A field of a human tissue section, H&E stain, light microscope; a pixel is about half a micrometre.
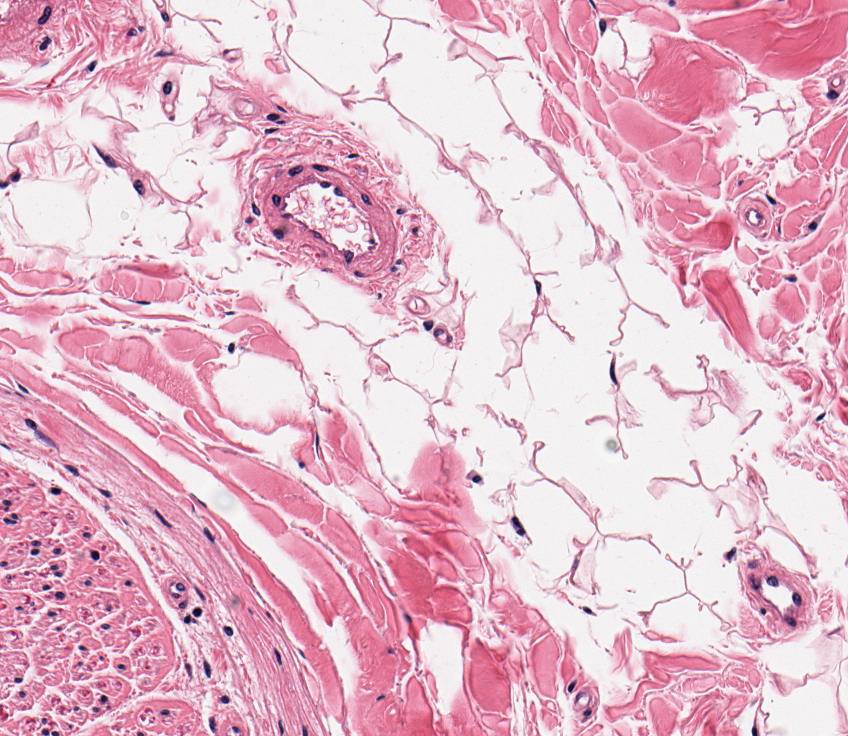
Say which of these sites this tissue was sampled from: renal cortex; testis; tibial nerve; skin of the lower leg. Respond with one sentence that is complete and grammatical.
This material was sampled from the tibial nerve.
